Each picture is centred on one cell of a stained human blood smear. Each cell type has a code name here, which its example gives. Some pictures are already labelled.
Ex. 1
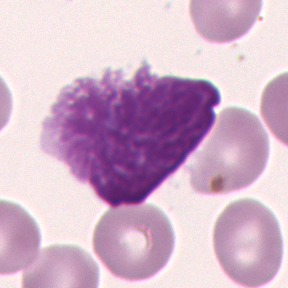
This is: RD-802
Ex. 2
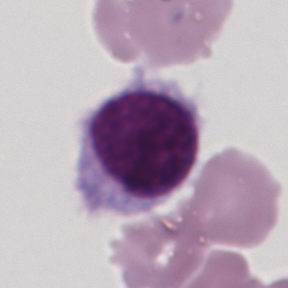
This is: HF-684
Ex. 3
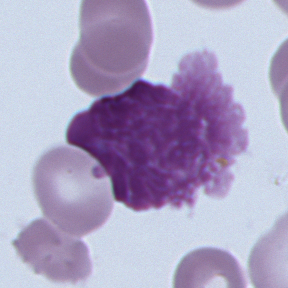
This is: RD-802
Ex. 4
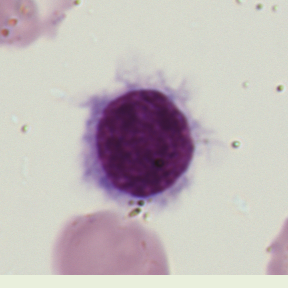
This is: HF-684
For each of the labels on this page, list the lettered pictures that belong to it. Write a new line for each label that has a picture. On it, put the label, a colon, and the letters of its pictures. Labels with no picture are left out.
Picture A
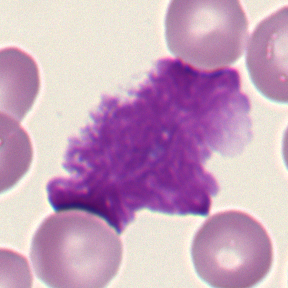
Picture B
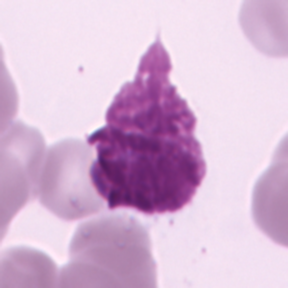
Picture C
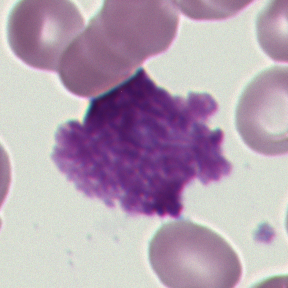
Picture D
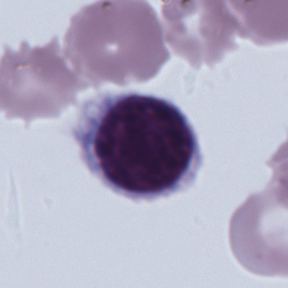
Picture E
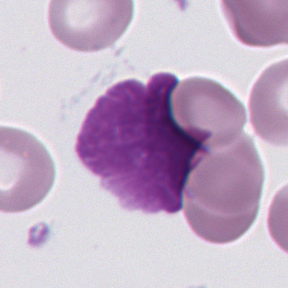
RD-802: A, B, C, E
HF-684: D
